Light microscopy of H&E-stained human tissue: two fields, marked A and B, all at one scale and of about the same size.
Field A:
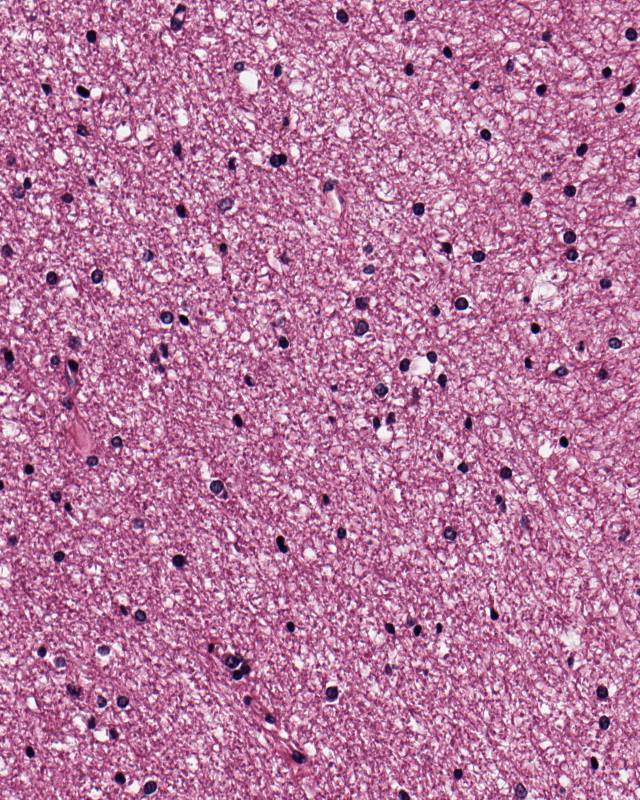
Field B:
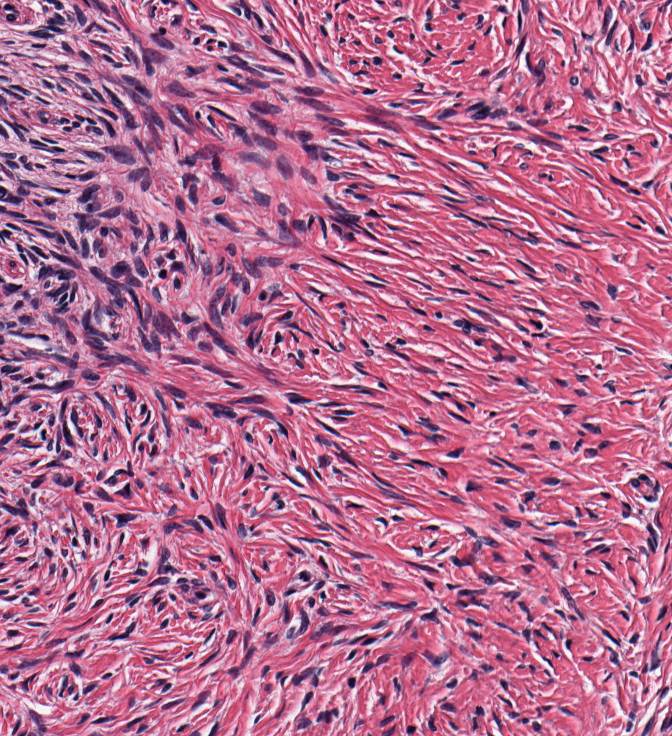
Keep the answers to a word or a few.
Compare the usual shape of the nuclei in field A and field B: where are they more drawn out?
B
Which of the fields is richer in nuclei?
B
